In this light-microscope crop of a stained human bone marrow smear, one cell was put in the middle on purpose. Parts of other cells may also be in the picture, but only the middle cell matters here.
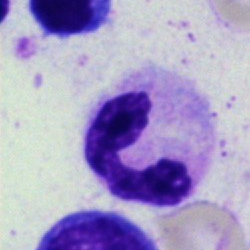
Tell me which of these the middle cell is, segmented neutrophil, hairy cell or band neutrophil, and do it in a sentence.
The cell at the heart of this crop is a band neutrophil.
